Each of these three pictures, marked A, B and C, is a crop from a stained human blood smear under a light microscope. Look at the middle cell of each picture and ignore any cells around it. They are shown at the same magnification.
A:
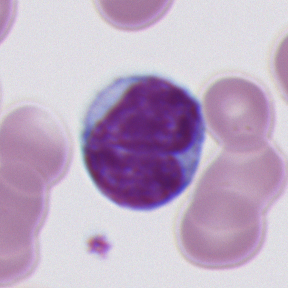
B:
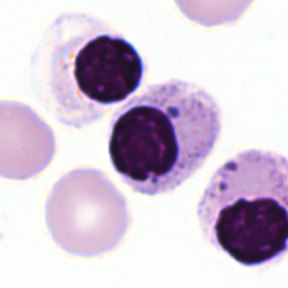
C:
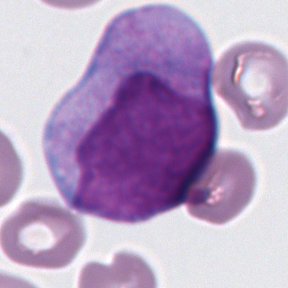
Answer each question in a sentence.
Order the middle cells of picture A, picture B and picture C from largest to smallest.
Largest first: C, A, B.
